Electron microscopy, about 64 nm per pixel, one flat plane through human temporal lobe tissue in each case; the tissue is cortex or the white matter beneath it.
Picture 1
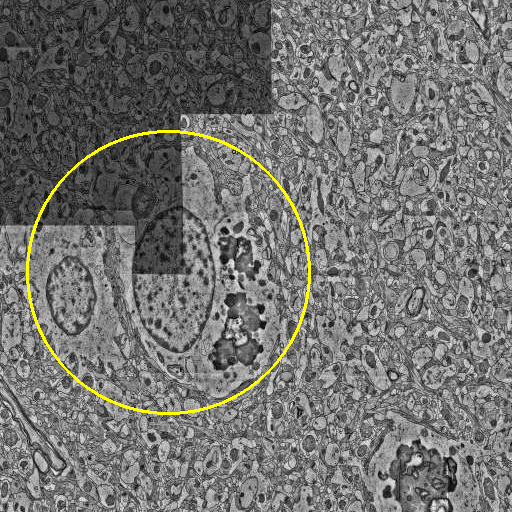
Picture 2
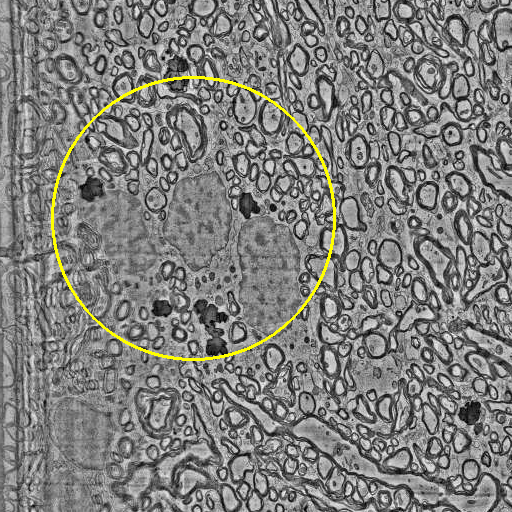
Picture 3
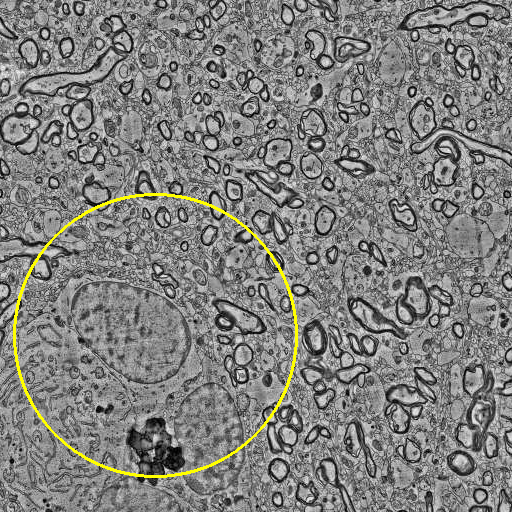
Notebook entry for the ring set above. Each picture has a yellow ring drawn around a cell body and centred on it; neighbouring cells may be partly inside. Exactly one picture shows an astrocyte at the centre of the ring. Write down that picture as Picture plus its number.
Picture 1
